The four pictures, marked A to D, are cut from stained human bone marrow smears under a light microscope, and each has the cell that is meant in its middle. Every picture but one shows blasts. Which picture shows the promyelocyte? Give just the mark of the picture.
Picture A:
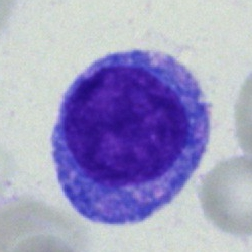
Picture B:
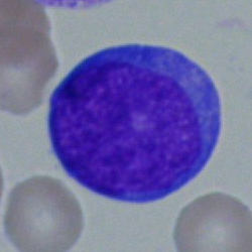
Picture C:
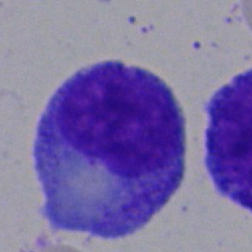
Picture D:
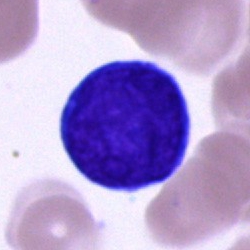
C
